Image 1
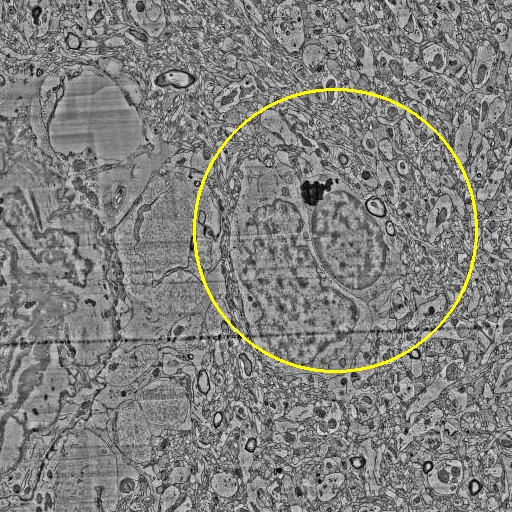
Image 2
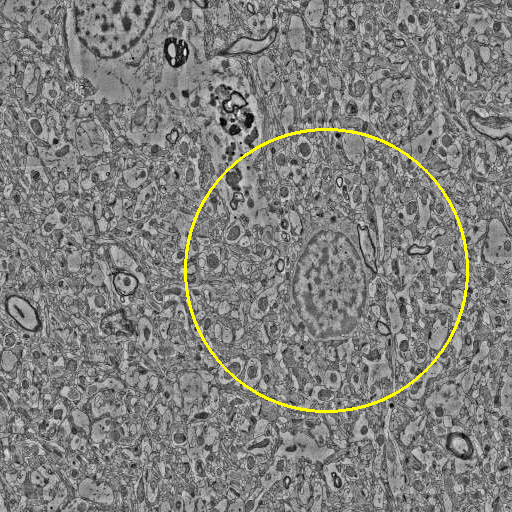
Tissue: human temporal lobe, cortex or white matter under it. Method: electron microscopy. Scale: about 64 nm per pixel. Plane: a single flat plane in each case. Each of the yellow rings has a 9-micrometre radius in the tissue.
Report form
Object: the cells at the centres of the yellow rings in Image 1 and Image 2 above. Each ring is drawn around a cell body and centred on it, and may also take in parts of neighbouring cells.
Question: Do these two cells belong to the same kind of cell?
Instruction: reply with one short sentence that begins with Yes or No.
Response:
Yes, both belong to the same kind of cell.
